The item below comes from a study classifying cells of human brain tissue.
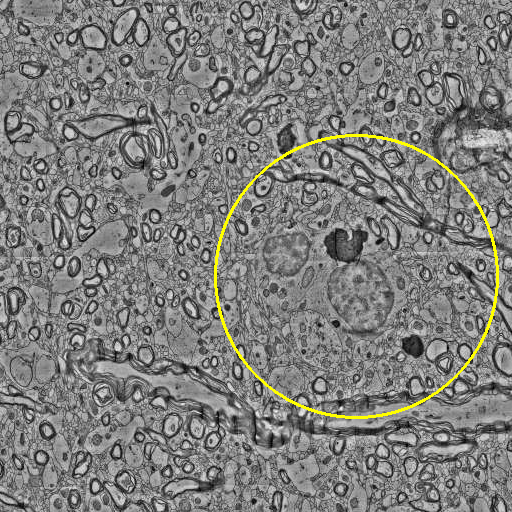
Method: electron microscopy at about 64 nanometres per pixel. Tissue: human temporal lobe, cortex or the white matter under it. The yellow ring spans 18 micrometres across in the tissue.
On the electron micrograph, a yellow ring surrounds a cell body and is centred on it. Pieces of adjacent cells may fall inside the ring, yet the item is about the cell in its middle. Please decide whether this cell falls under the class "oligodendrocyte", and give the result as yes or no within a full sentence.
Yes, the cell at the middle of the ring on the micrograph belongs in that class.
